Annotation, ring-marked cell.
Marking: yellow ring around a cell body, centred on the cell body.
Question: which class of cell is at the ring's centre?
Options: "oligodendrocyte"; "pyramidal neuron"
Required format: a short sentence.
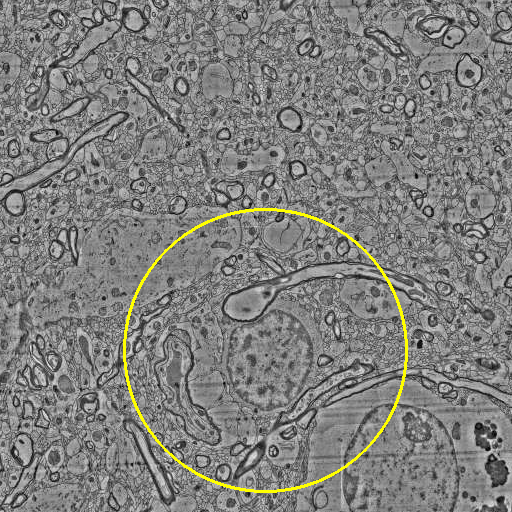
At the ring's centre is an oligodendrocyte.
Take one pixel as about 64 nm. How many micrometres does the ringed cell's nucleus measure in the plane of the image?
The nucleus is approximately 6 micrometers across in this plane.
